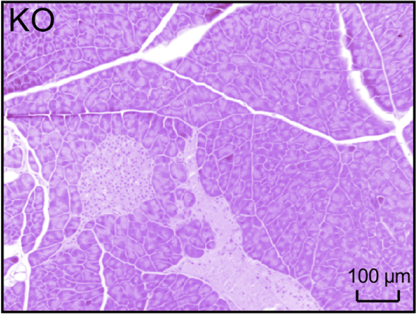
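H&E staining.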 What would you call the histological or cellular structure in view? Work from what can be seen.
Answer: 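Pancreatic islets. A rounded cluster of pale-staining cells lies within darker purple glandular tissue. The pale cluster contains many small dark nuclei. The glandular tissue is split into lobules by thin white septa.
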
